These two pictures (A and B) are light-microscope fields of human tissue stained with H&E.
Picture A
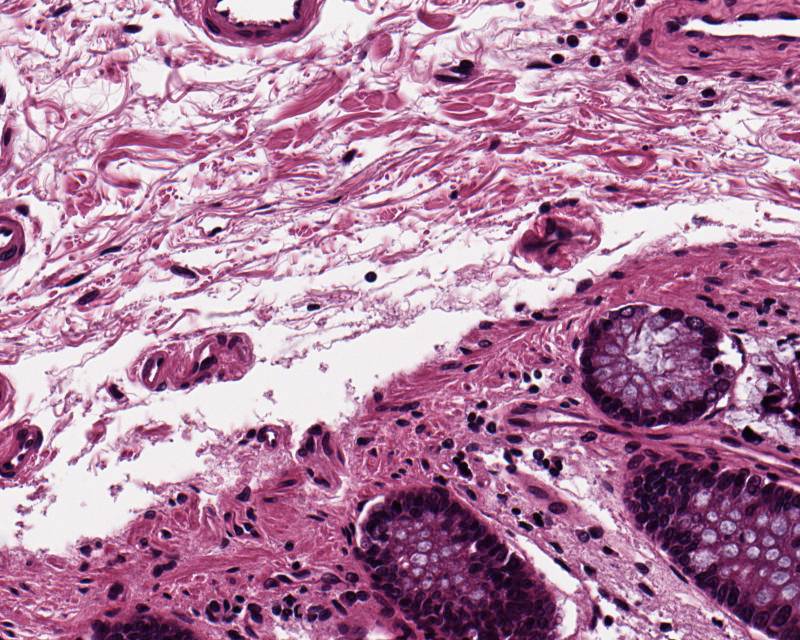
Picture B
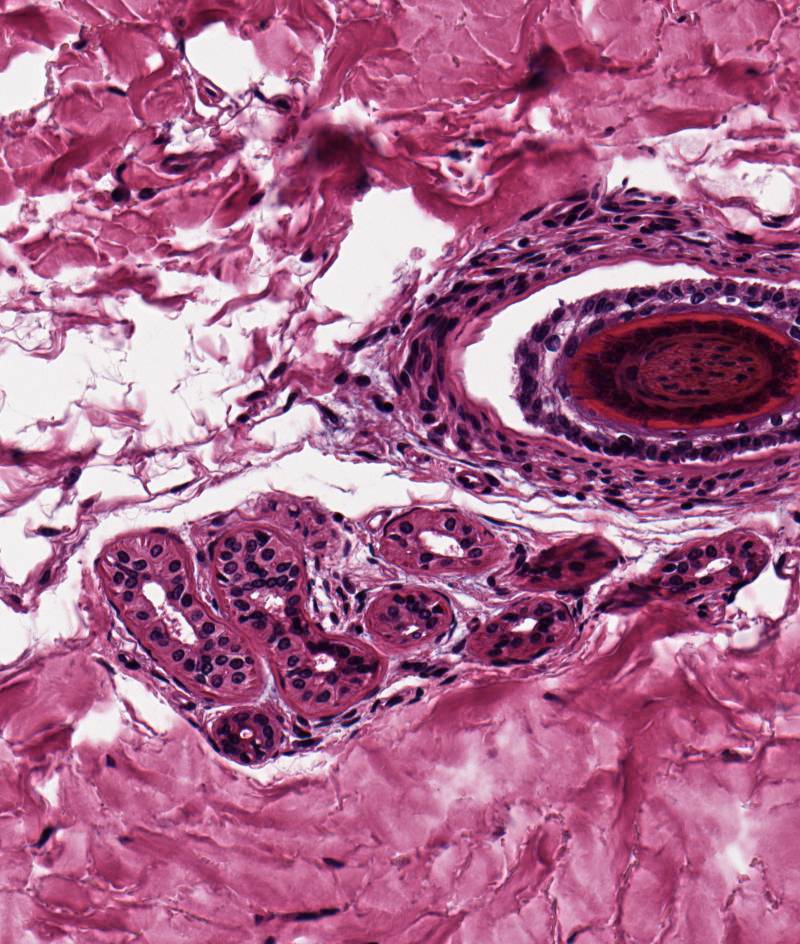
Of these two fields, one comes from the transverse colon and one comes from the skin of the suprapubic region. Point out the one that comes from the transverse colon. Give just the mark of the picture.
A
